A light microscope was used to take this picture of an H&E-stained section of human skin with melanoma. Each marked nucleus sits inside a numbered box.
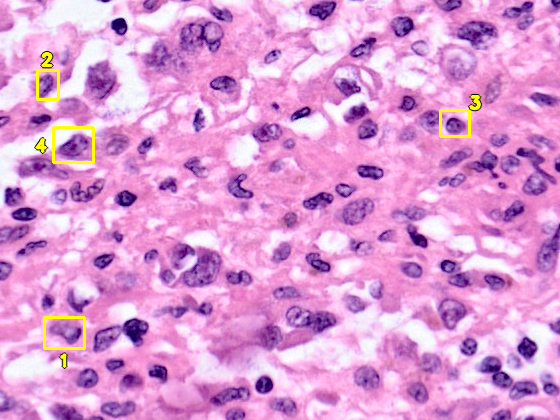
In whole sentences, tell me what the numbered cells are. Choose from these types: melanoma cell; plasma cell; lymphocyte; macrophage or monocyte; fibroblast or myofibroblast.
Cells 1 and 2 are macrophages or monocytes. Cell 3 is a lymphocyte. Cell 4 is a melanoma cell.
